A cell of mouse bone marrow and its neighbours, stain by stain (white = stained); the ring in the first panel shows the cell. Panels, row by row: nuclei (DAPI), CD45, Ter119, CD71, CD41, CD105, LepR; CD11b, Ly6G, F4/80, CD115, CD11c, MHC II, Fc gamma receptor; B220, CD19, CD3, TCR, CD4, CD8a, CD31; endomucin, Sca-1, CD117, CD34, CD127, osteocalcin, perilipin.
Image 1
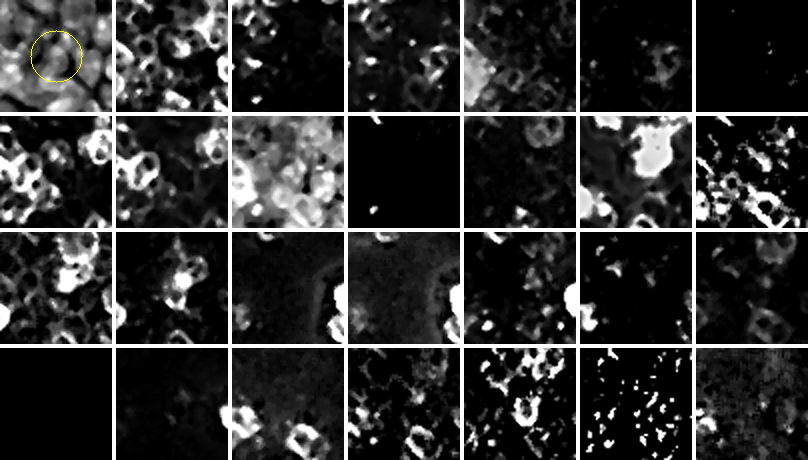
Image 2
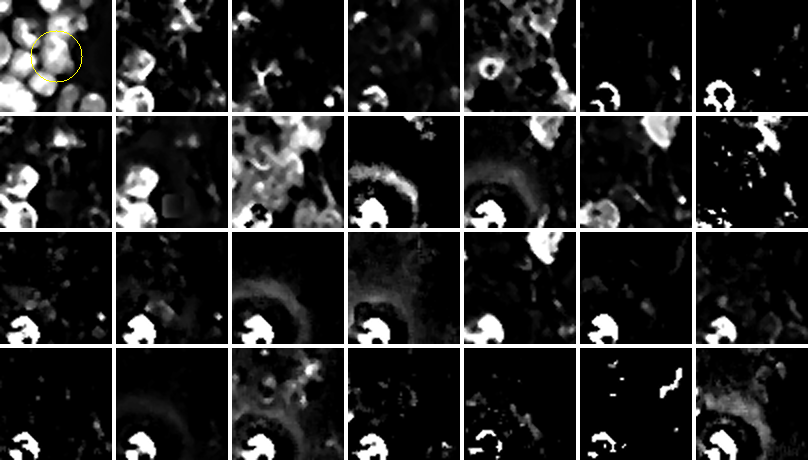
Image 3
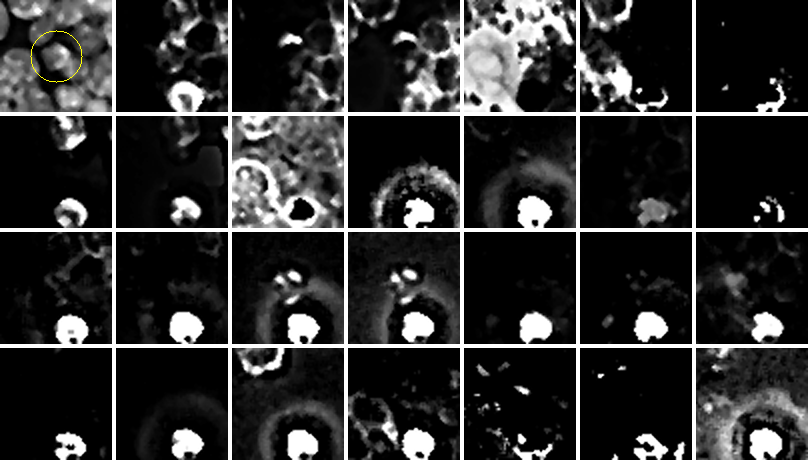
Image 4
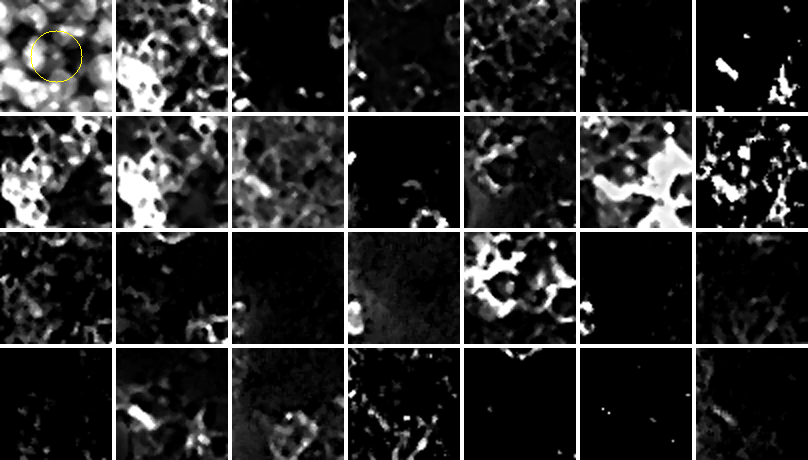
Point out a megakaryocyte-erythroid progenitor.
That is picture 2.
